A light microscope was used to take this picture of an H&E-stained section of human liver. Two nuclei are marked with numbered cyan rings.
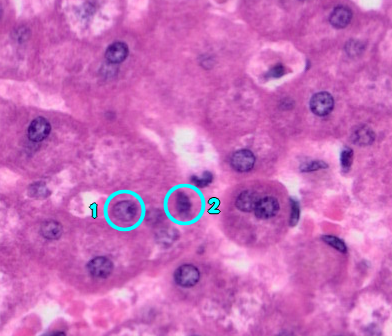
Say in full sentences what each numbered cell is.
Cell 1 is a hepatocyte. Cell 2 is a fibroblast or stellate cell.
